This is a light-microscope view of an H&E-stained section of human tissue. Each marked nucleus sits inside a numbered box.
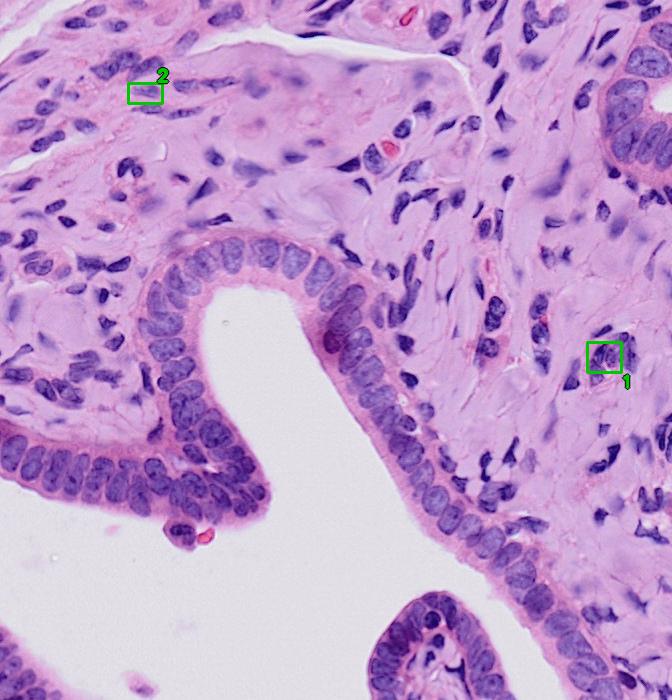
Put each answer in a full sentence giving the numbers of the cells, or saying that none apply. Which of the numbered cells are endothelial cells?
The nucleus labelled 1 alone belongs to an endothelial cell; the other marked nuclei do not.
